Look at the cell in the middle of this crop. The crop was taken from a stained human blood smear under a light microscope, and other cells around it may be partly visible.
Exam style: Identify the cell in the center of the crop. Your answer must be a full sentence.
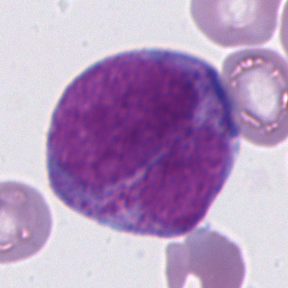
In the centre of this crop there is a promyelocyte.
